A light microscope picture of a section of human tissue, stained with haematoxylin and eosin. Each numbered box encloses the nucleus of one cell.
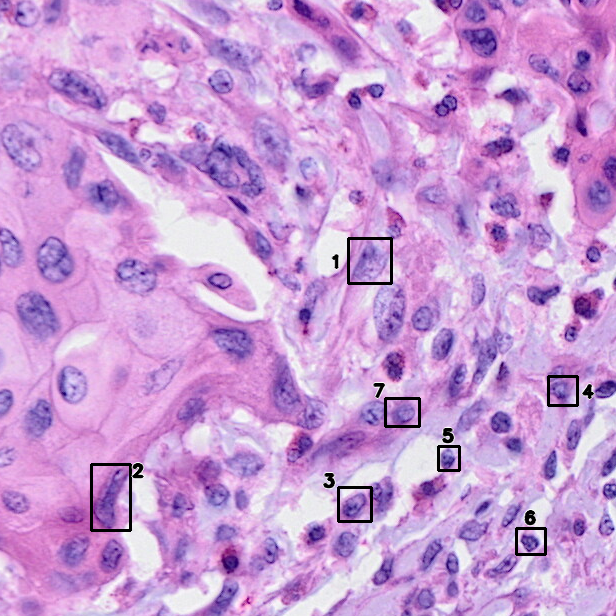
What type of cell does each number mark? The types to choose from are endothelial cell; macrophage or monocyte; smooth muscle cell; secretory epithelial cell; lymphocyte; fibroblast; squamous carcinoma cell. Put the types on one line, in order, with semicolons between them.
fibroblast; squamous carcinoma cell; macrophage or monocyte; endothelial cell; lymphocyte; lymphocyte; endothelial cell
